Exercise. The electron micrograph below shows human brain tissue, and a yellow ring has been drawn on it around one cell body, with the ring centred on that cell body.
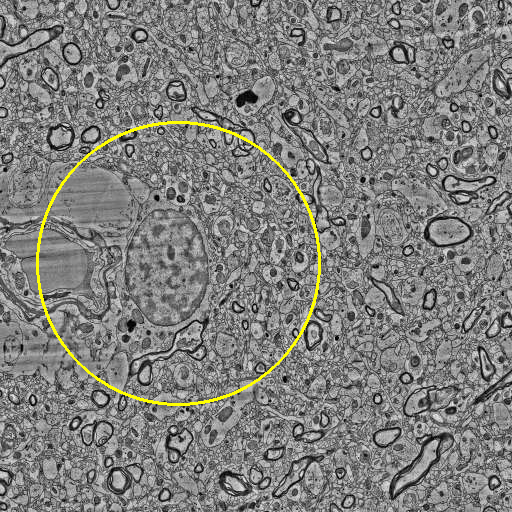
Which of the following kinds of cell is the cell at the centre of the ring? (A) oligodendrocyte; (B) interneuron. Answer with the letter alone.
A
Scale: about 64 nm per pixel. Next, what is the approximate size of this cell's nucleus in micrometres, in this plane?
The ringed cell's nucleus is about 7 micrometres long and 5 micrometres wide in this plane.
